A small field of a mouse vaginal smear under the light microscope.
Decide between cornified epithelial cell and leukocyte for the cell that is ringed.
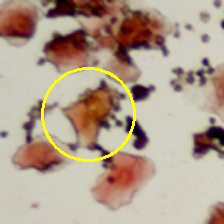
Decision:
I take the ringed cell for a cornified epithelial cell.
